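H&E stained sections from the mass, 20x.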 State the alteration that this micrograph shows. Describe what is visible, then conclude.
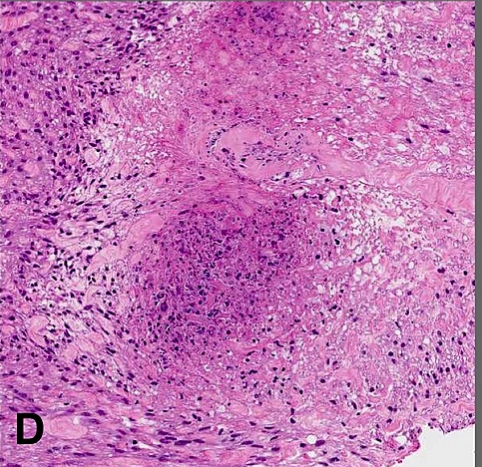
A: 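Pale pink, poorly cellular areas with a frothy, vacuolated look. A cluster of dark nuclear debris sits within the pale area. Viable spindle cells lie at the left edge. On this evidence: necrosis.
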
